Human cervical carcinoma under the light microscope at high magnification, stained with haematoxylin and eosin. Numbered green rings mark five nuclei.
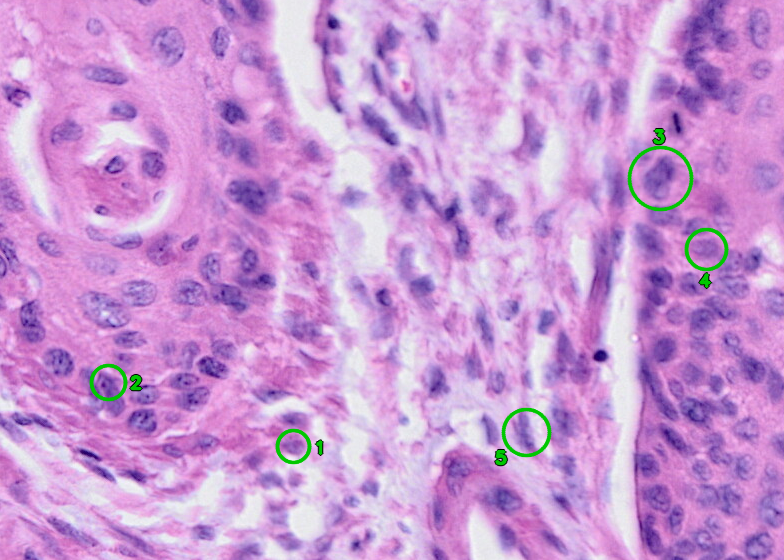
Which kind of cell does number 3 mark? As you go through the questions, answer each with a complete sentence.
The cell carrying label 3 is identified as a squamous carcinoma cell.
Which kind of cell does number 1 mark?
Cell 1 should be recorded as a fibroblast.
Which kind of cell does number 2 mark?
Here, the cell given the number 2 is a squamous carcinoma cell.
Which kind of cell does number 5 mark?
To a fibroblast belongs the nucleus marked 5.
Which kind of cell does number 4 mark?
The cell numbered 4 represents a squamous carcinoma cell.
